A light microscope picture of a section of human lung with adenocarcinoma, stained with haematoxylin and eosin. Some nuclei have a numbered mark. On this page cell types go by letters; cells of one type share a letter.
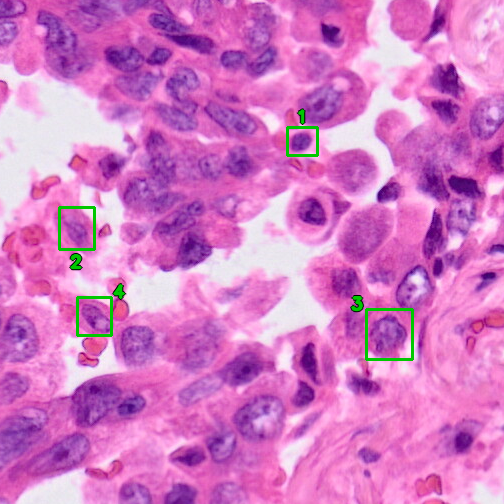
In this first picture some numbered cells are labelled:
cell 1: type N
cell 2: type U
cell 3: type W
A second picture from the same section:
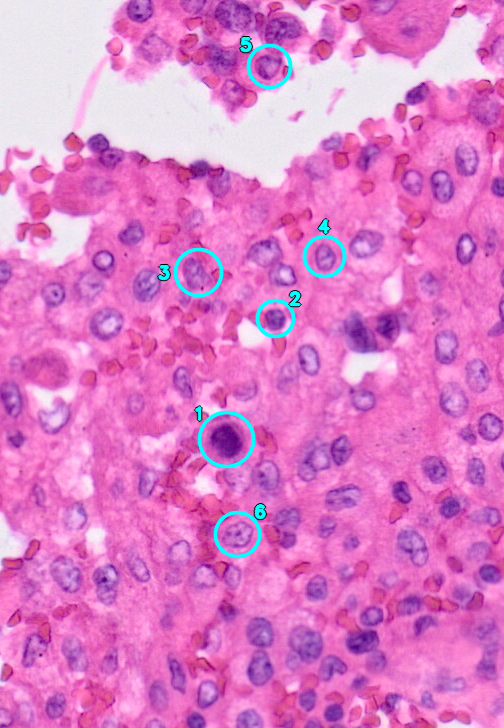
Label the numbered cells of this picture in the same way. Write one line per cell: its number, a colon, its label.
1: type W
2: type N
3: type U
4: type U
5: type U
6: type U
